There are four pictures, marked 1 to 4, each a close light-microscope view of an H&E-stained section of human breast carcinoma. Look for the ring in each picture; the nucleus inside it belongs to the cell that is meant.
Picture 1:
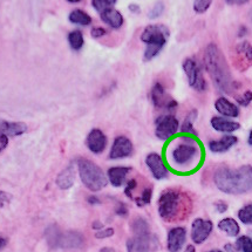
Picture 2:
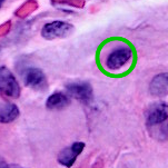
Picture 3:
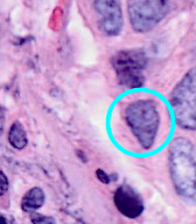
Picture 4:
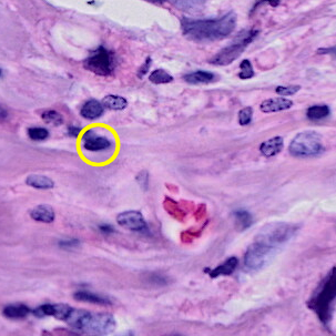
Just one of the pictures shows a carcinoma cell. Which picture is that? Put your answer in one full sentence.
The carcinoma cell is the one in picture 3.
